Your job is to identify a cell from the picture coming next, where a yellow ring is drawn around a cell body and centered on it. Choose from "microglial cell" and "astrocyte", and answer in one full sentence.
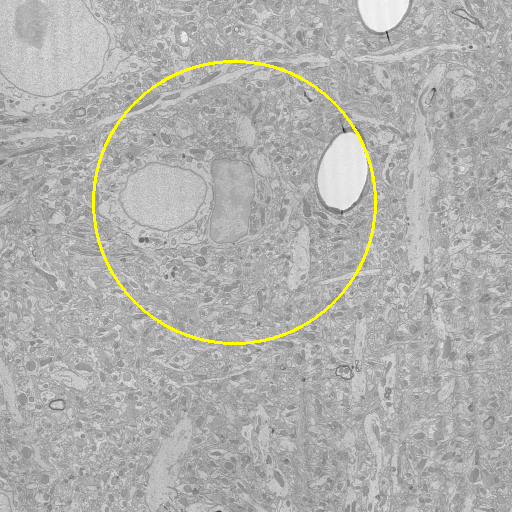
Centered in the yellow ring of the picture is the body of a microglial cell.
